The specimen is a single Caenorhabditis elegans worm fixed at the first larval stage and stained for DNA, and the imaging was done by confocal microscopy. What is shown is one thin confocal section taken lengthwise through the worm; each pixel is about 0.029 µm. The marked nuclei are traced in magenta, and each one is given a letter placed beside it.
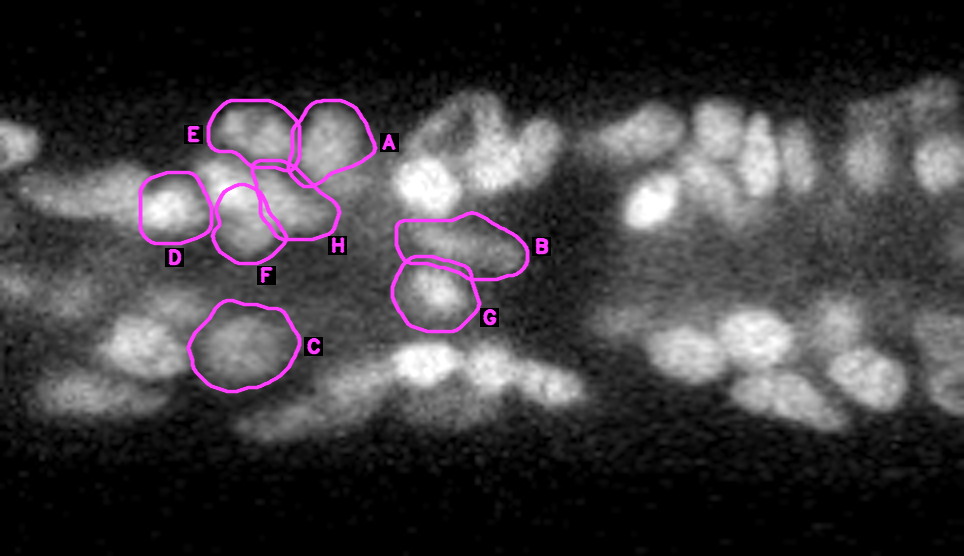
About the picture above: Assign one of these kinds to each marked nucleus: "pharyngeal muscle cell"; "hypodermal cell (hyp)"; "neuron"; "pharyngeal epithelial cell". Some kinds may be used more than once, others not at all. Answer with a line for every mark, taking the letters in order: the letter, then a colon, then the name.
A: hypodermal cell (hyp)
B: neuron
C: pharyngeal muscle cell
D: pharyngeal muscle cell
E: hypodermal cell (hyp)
F: pharyngeal muscle cell
G: neuron
H: neuron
